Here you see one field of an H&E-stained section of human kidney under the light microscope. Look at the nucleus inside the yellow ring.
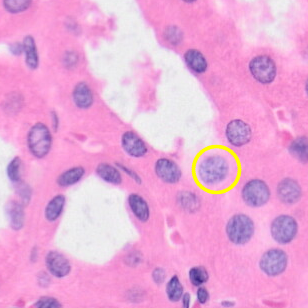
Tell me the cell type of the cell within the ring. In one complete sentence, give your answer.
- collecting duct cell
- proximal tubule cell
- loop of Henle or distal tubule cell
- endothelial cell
Labelled by cell type, the cell within the ring is a loop of Henle or distal tubule cell.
